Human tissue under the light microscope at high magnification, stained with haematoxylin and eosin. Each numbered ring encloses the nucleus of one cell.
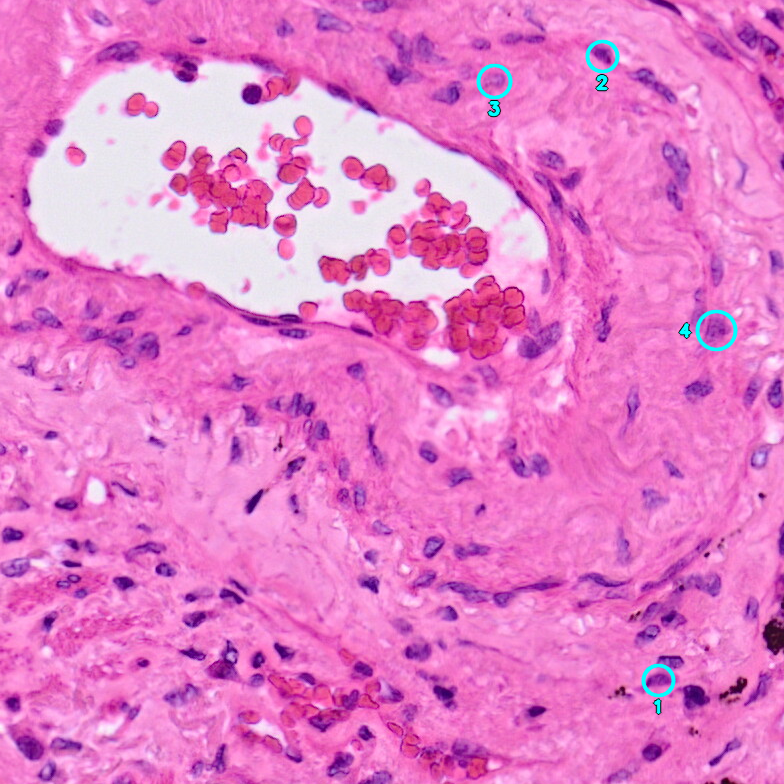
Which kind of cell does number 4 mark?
smooth muscle cell or pericyte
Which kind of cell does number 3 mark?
smooth muscle cell or pericyte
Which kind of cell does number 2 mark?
smooth muscle cell or pericyte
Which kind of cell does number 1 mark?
plasma cell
